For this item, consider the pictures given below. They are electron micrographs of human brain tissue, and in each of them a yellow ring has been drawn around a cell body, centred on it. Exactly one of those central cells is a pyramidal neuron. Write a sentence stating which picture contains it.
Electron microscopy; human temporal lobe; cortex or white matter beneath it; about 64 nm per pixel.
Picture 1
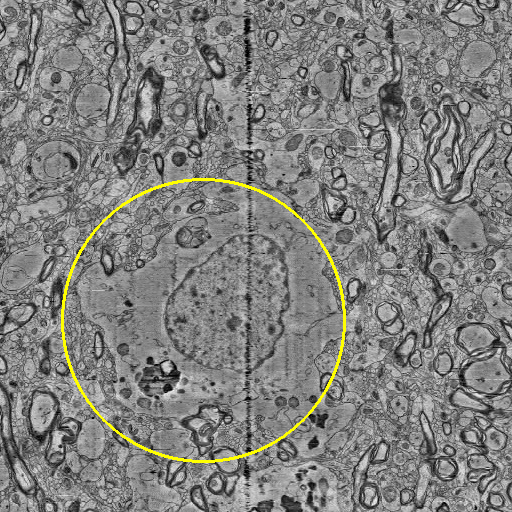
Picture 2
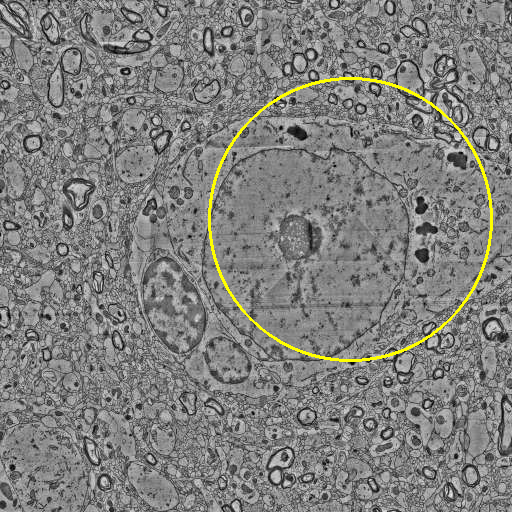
It is in Picture 2.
